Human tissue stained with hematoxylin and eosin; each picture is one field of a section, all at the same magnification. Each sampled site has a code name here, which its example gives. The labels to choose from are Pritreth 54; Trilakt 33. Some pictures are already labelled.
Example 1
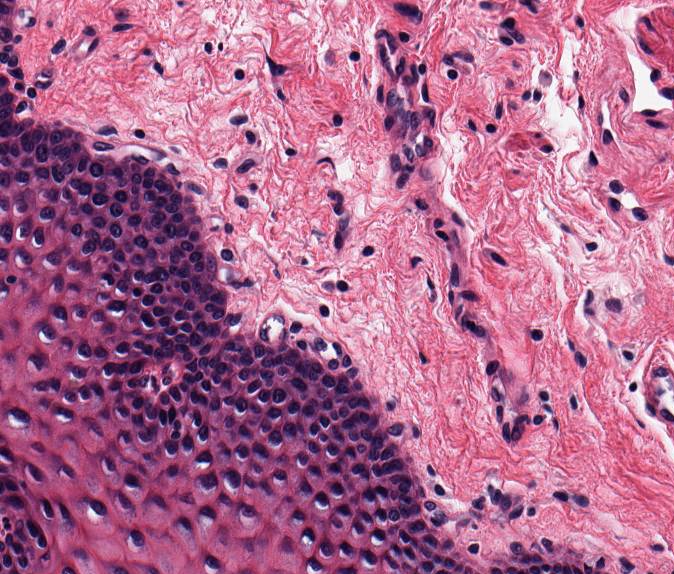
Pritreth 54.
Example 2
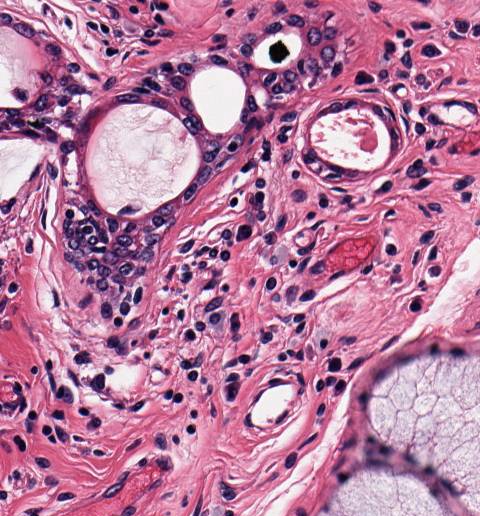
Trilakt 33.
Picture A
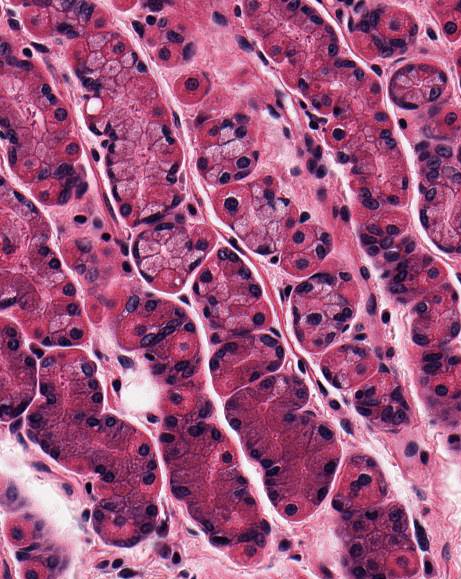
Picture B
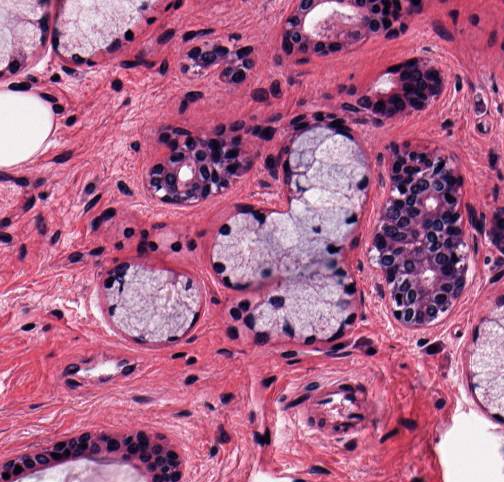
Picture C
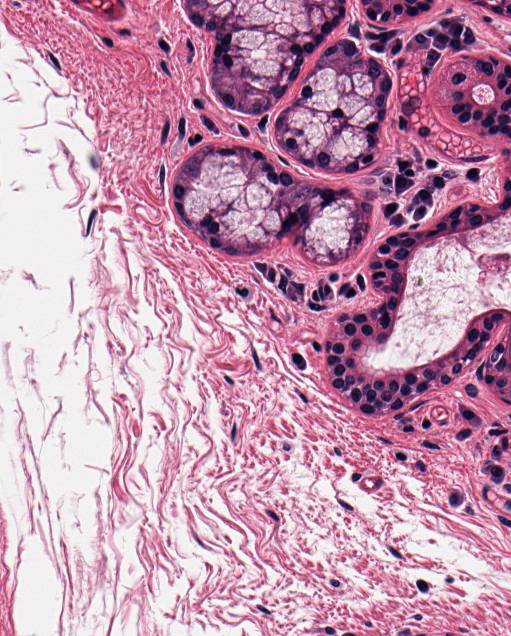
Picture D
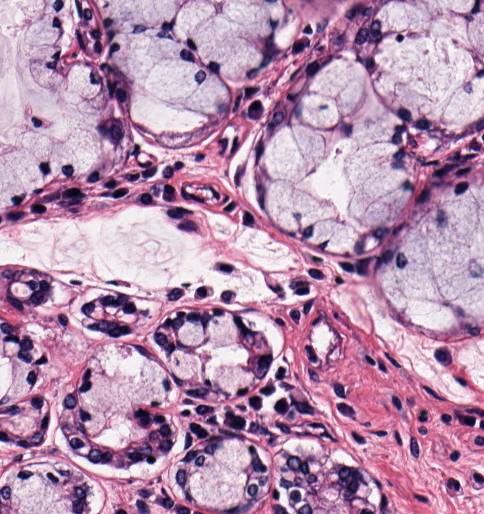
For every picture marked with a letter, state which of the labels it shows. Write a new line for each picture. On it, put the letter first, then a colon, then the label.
A: Pritreth 54.
B: Trilakt 33.
C: Trilakt 33.
D: Trilakt 33.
